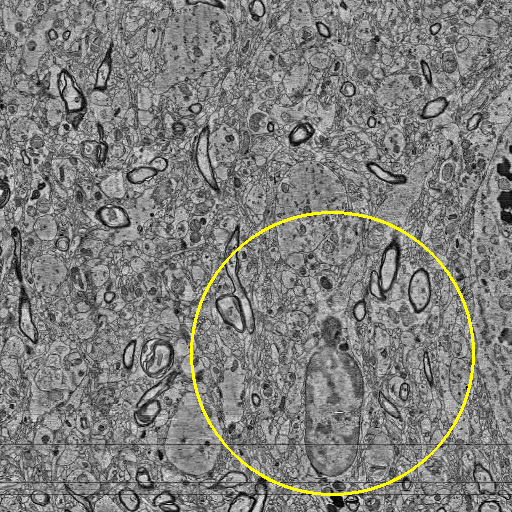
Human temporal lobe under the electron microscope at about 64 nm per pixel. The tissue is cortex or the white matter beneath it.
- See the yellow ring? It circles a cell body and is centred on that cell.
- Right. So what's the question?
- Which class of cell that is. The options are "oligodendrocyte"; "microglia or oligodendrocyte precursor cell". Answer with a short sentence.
The centre of the ring holds a microglial cell or oligodendrocyte precursor cell.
